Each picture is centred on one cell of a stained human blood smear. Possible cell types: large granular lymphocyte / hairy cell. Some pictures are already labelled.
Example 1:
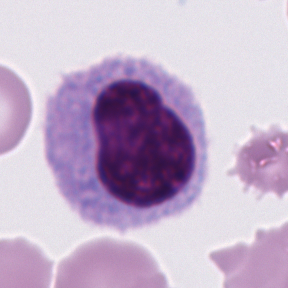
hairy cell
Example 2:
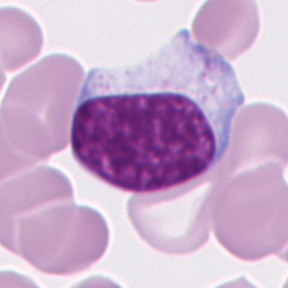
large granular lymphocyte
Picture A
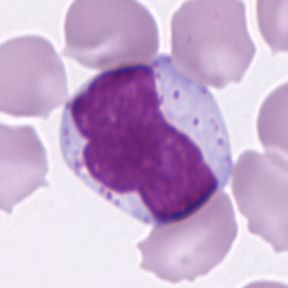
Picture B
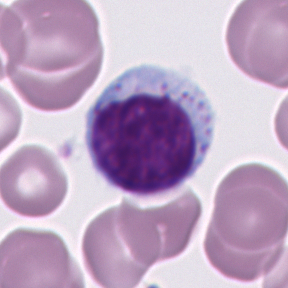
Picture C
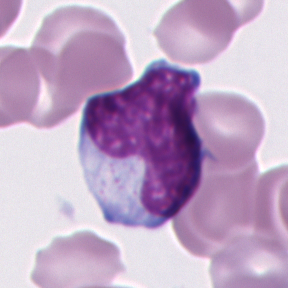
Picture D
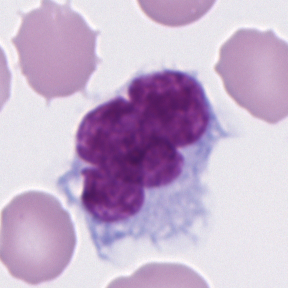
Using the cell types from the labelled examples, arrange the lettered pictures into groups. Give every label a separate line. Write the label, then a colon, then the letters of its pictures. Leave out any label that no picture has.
large granular lymphocyte: A, B, C
hairy cell: D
